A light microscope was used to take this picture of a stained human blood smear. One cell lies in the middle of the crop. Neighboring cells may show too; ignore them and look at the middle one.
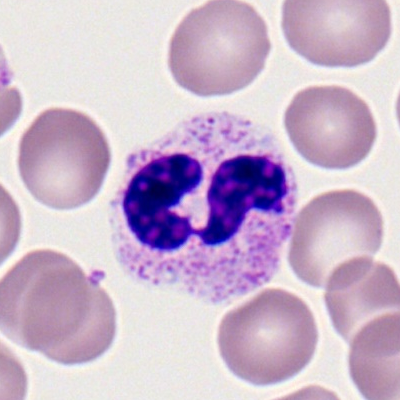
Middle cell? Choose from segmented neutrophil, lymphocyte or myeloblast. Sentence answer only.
Of the cells in this crop, the central one is a segmented neutrophil.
